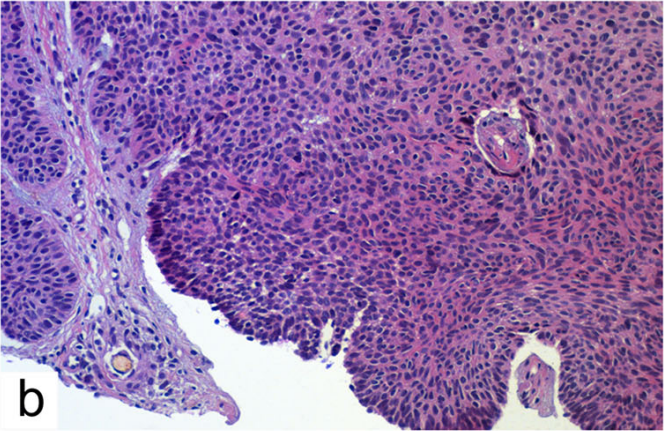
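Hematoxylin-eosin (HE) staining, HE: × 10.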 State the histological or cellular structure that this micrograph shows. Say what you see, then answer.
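Basaloid nests. Large sheet of densely packed cells with dark blue-purple, oval to spindle nuclei and scant cytoplasm. Cells crowded with little intervening pink stroma.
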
